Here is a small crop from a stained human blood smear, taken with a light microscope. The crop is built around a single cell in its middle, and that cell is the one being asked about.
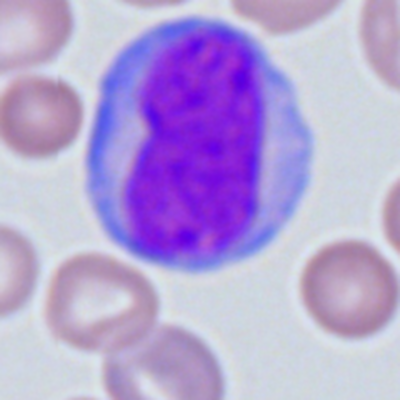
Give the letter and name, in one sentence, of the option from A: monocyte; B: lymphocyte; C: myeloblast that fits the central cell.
Option A holds up: the cell in the middle is a monocyte.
